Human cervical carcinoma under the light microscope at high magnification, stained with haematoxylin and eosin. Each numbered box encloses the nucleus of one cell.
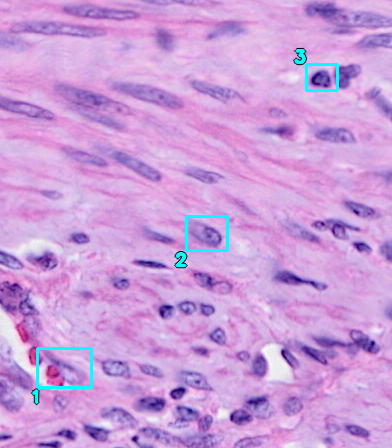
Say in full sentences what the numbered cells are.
Cell 1 is an endothelial cell. Cell 2 is a smooth muscle cell. Cell 3 is a lymphocyte.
